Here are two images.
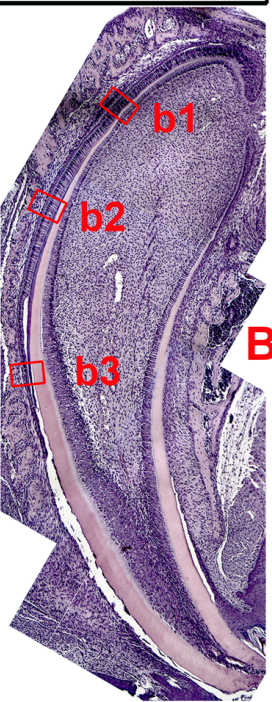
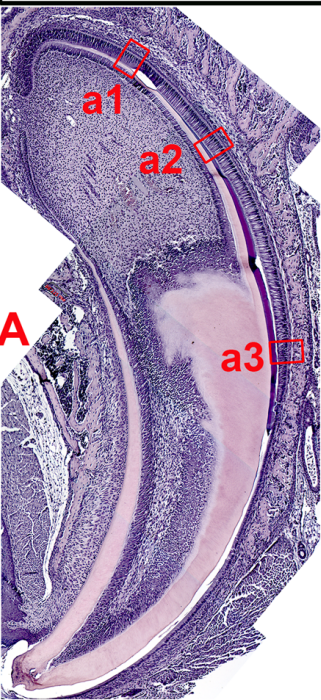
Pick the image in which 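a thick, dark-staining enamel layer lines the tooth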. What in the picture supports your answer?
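First image: no distinct thick dark purple-red layer is seen along the outer side of the pink band. Second image: a clearly visible dark purple-red layer lies along the convex side of the pink band. That points to this answer: the second image.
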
